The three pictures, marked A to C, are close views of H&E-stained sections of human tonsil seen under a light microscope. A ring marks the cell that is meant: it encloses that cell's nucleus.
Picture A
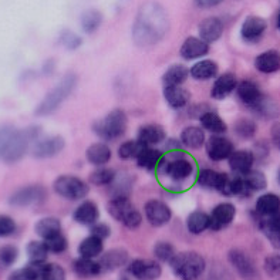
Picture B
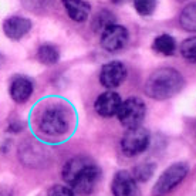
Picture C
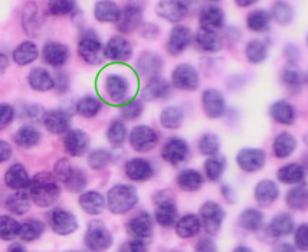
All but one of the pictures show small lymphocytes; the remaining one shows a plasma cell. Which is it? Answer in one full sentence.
The cell in picture B is the plasma cell.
